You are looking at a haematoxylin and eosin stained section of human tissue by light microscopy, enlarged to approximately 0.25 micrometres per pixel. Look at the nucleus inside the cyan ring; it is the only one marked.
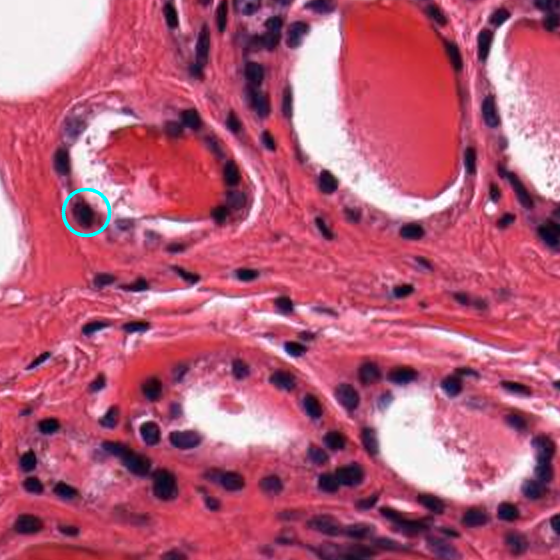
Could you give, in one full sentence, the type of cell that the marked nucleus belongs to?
The marked nucleus is one that belongs to a thyroid follicular cell.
